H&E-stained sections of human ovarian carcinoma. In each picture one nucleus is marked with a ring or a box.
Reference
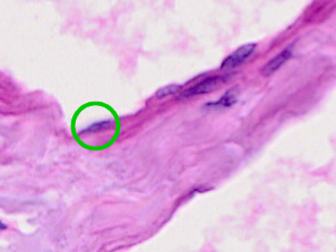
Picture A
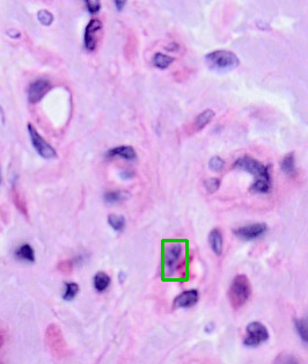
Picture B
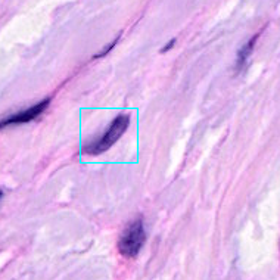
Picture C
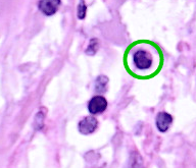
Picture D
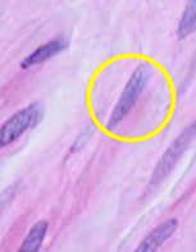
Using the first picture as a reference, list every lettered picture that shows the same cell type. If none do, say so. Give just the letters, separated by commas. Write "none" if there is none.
A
